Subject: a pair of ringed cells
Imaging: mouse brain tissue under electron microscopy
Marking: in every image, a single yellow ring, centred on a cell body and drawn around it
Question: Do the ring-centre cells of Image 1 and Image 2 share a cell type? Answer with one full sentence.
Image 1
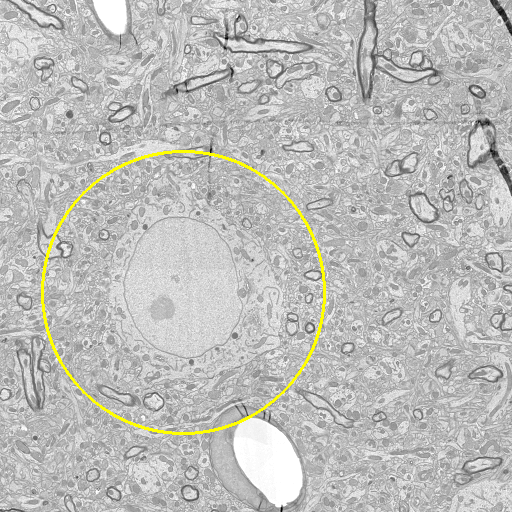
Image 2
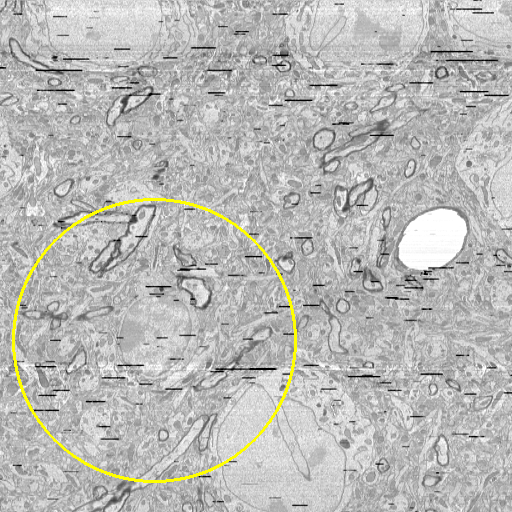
No, at the ring centres in the images sit cells of two separate types.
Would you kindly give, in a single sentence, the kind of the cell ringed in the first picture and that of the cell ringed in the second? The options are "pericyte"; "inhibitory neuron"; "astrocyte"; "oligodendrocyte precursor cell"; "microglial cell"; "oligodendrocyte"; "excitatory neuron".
The second cell is an oligodendrocyte, and the first cell is an excitatory neuron.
